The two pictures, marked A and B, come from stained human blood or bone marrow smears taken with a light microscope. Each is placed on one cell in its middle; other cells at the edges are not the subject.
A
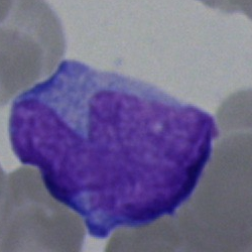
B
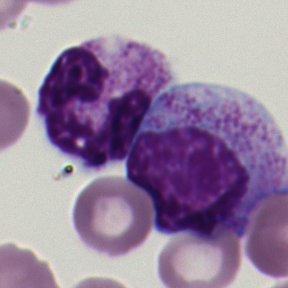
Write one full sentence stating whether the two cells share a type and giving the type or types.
No, that is not right; crop A shows a blast and crop B shows a myelocyte.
